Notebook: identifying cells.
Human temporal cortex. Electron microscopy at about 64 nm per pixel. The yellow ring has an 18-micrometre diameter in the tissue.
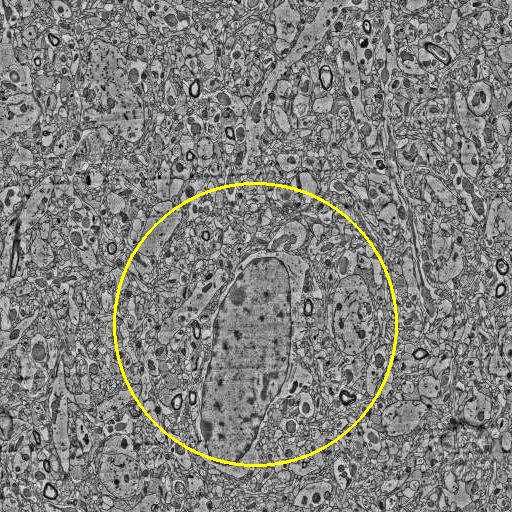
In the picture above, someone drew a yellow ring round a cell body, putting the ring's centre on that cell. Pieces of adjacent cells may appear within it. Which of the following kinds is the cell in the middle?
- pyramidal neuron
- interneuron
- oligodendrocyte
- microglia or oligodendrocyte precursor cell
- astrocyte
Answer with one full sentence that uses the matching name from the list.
In this picture, the yellow ring is centred on the body of a microglial cell or oligodendrocyte precursor cell.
